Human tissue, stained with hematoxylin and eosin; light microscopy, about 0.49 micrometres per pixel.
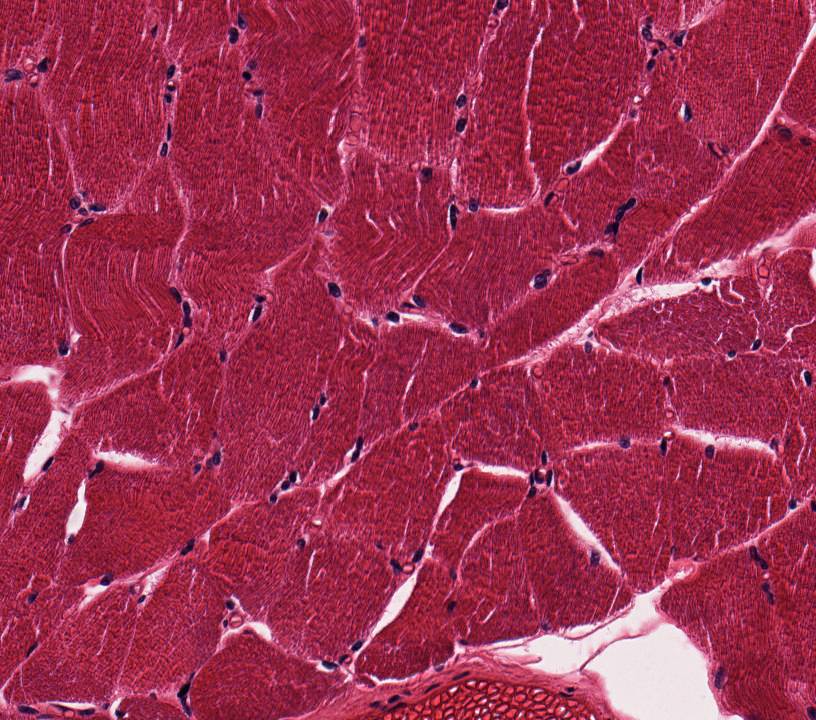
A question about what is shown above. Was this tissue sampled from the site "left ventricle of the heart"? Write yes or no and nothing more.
no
